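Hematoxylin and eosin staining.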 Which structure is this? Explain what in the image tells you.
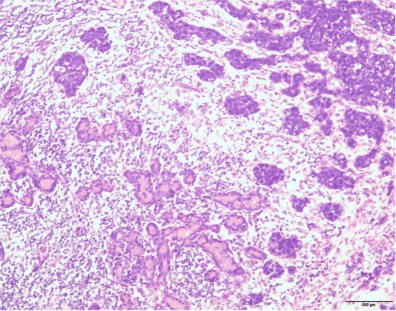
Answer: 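Small nests. Dense dark purple clusters of cells lie scattered through a paler stroma. The clusters vary in size and shape and have irregular borders.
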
